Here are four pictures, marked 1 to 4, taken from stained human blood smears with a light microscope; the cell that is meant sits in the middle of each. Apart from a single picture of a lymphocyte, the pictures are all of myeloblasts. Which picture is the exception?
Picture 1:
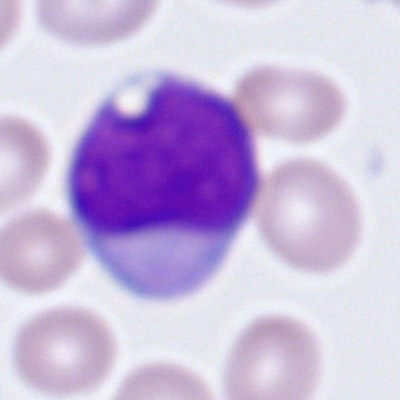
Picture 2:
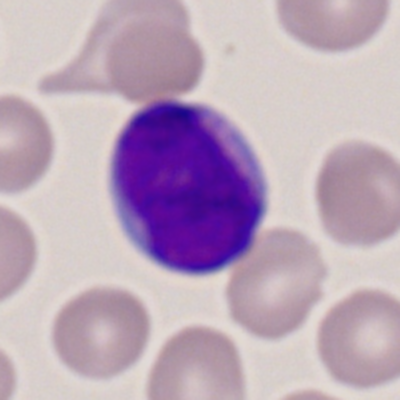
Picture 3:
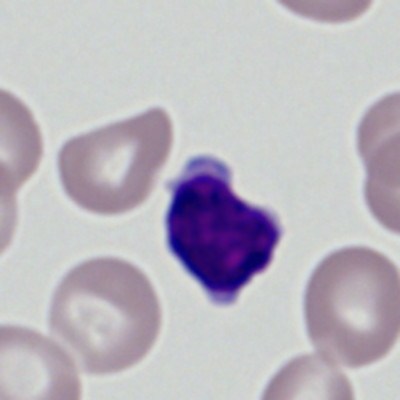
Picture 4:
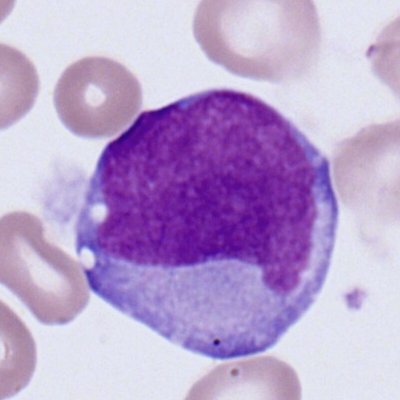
3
